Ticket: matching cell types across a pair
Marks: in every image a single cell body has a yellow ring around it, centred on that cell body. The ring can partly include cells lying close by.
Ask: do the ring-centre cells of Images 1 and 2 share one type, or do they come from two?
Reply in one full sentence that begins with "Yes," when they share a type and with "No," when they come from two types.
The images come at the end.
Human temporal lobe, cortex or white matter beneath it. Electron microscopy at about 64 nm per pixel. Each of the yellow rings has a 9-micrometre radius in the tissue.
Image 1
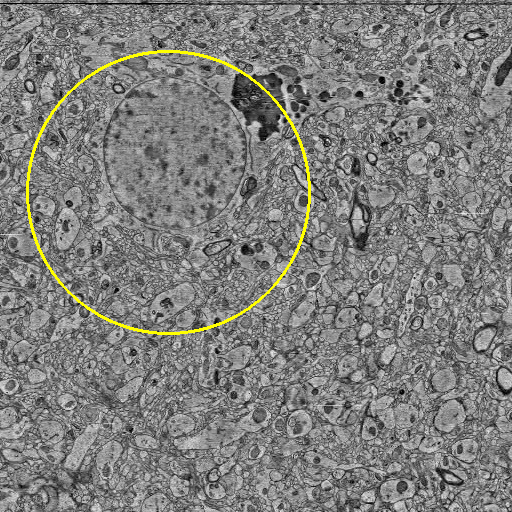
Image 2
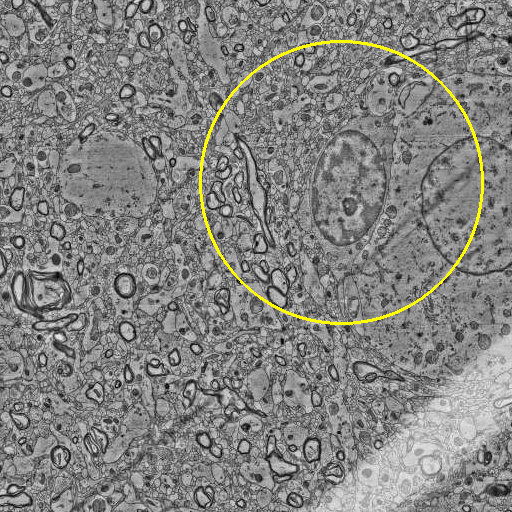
No, the cells in the centres of the rings in Image 1 and Image 2 come from two types.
